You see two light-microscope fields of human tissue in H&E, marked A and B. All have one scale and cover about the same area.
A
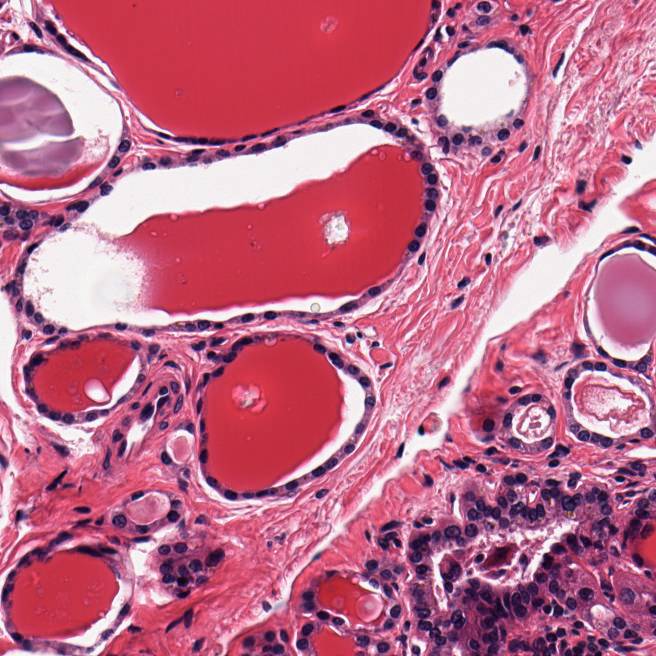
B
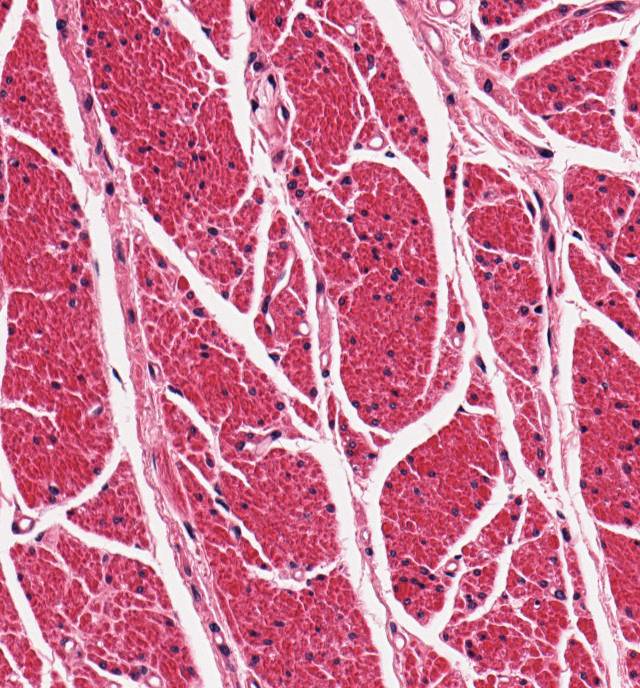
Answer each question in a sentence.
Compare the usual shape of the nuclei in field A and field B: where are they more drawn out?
On the whole the nuclei of field A are more drawn out than those of field B.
